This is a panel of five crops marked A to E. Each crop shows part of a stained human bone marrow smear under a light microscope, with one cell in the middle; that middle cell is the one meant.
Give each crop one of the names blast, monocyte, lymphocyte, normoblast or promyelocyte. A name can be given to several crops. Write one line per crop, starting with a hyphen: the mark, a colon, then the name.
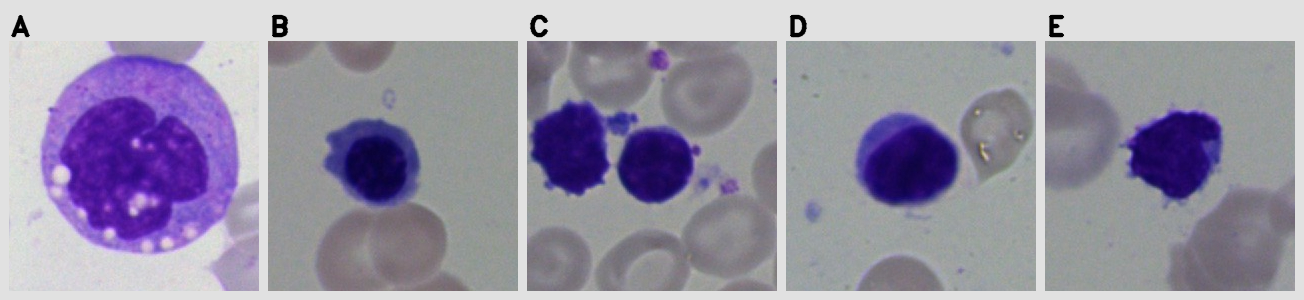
- A: monocyte
- B: normoblast
- C: lymphocyte
- D: lymphocyte
- E: lymphocyte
